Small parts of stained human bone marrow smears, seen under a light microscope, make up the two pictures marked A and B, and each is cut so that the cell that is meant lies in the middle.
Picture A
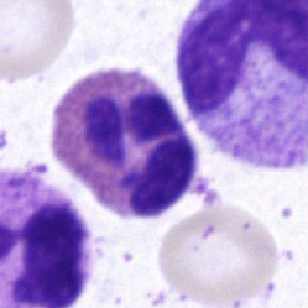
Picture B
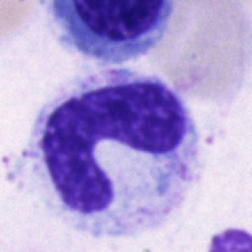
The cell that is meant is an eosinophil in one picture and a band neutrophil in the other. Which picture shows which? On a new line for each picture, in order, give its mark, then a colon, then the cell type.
A: eosinophil
B: band neutrophil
